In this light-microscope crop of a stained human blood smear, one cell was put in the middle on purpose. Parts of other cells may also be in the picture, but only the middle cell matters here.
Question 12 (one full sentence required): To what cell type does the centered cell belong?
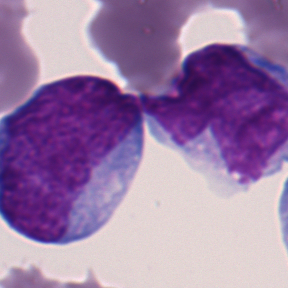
The cell in the middle of the field of view is a myeloblast.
